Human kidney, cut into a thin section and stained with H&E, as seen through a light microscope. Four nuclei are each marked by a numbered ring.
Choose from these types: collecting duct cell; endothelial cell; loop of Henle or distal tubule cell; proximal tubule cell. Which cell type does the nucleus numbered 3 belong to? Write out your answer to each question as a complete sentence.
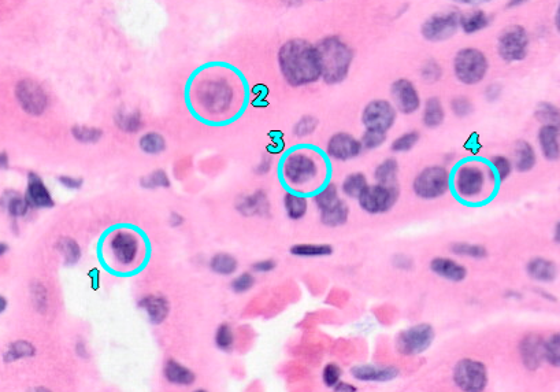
The nucleus marked 3 is the nucleus of a collecting duct cell.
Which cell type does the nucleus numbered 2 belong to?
Denoted by the label 2 in the section is a proximal tubule cell.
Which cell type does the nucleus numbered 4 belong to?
The numeral 4 marks a collecting duct cell in this section.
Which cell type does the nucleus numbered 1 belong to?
The cell with the number 1 is a loop of Henle or distal tubule cell.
